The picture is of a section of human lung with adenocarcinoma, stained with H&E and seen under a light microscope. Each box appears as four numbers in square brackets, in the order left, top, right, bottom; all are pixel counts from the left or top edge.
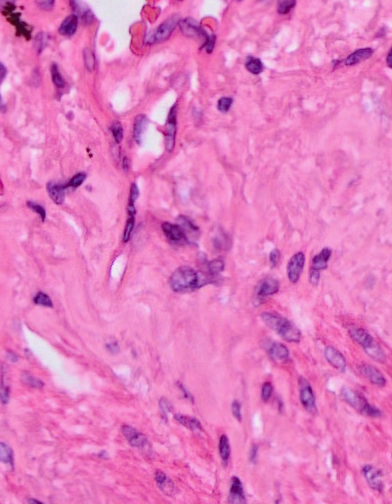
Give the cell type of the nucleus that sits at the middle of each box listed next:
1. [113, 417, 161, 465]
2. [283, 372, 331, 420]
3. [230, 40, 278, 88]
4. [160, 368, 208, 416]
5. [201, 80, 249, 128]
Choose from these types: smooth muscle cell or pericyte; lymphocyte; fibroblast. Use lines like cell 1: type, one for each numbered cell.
cell 1: smooth muscle cell or pericyte
cell 2: smooth muscle cell or pericyte
cell 3: lymphocyte
cell 4: fibroblast
cell 5: lymphocyte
